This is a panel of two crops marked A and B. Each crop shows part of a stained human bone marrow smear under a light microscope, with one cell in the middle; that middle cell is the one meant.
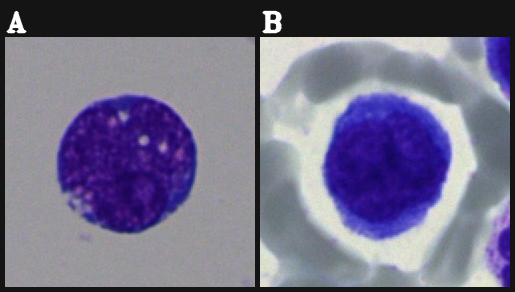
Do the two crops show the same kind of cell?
yes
